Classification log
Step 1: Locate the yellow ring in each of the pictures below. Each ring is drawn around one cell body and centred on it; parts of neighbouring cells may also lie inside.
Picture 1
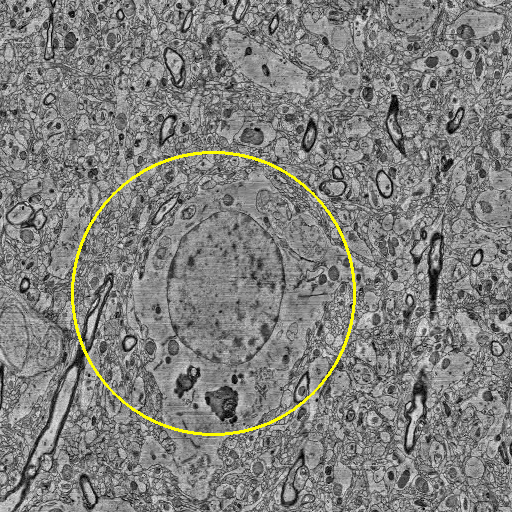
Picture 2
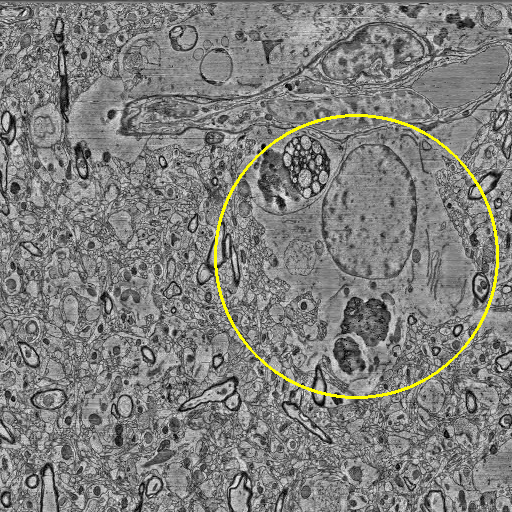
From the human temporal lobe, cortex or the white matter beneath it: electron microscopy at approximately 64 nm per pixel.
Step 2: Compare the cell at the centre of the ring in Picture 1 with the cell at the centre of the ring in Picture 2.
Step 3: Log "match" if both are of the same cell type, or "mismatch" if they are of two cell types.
match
